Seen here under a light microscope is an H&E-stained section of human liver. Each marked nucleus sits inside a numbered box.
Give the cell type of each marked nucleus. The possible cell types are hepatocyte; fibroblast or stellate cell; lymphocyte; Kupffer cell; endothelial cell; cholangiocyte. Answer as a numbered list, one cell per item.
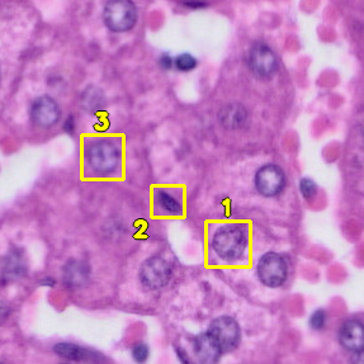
1. hepatocyte
2. fibroblast or stellate cell
3. hepatocyte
